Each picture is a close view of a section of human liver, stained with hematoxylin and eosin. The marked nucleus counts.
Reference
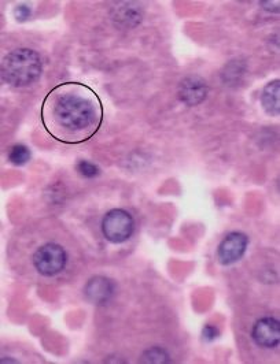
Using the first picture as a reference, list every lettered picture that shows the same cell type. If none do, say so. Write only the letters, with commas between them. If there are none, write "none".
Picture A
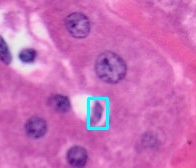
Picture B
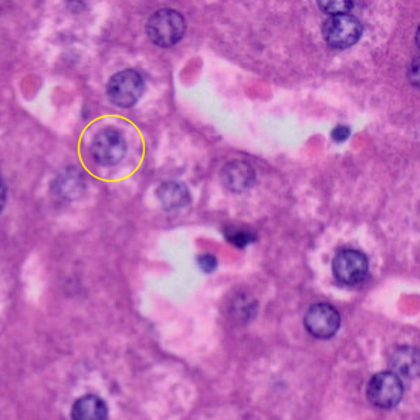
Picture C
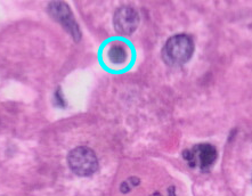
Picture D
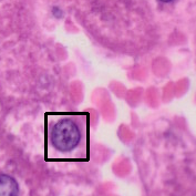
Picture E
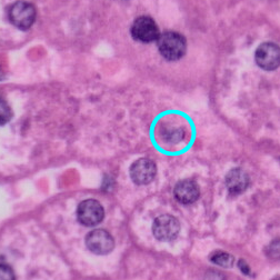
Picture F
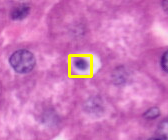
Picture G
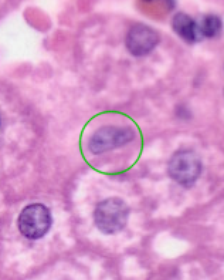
B, D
